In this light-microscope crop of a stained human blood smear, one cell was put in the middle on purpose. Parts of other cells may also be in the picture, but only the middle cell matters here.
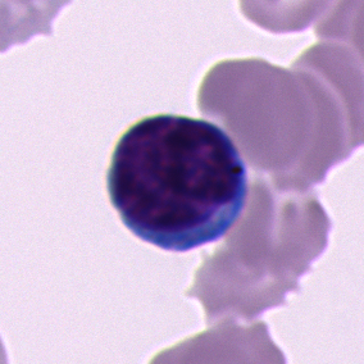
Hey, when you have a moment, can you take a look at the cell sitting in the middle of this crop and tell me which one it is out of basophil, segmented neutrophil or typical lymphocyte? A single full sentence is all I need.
The central element of this crop is a cell, namely a typical lymphocyte.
